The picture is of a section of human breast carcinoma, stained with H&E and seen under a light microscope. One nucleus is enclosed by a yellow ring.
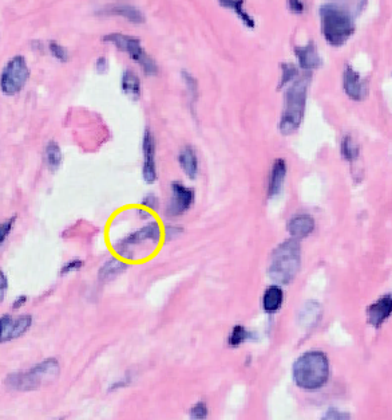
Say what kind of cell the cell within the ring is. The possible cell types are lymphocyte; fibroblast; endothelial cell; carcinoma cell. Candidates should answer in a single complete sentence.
The classification of the cell within the ring is as an endothelial cell.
